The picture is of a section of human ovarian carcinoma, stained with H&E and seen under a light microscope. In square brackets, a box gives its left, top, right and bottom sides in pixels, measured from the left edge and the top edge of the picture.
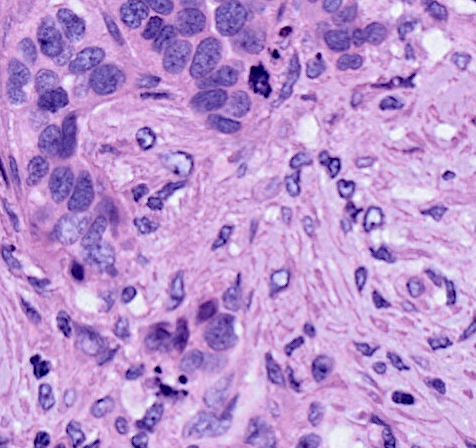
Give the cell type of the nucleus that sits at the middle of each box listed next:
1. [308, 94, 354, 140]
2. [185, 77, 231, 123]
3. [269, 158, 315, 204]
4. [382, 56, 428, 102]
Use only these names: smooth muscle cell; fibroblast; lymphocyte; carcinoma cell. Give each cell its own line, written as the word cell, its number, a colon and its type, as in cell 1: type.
cell 1: fibroblast
cell 2: carcinoma cell
cell 3: fibroblast
cell 4: fibroblast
